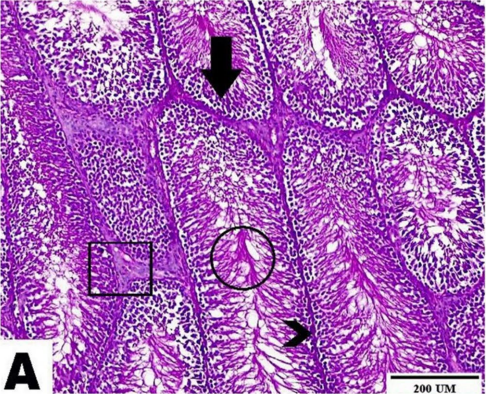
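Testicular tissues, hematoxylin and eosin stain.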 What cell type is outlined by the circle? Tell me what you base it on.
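Sperms. Bundles of thin pink filaments gather in the centre of a tubule. The filaments point toward the tubule lumen.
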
